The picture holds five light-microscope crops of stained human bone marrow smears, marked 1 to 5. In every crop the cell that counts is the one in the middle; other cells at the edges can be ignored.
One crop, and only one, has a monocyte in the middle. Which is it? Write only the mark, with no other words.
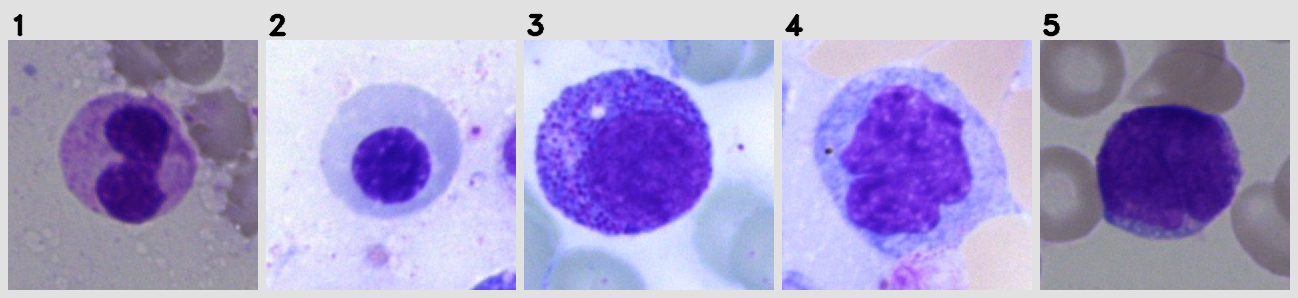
4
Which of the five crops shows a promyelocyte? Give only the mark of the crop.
3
